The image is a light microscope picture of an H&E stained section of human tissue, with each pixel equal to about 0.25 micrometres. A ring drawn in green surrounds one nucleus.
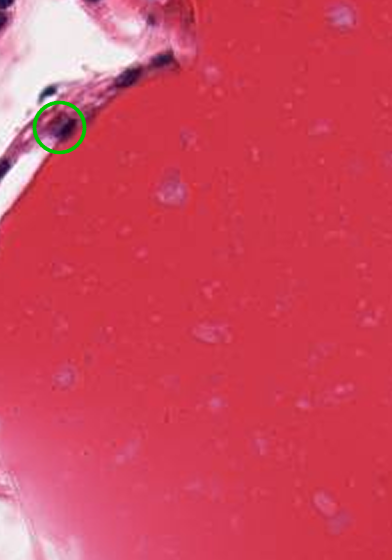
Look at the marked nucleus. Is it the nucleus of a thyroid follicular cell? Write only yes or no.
yes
